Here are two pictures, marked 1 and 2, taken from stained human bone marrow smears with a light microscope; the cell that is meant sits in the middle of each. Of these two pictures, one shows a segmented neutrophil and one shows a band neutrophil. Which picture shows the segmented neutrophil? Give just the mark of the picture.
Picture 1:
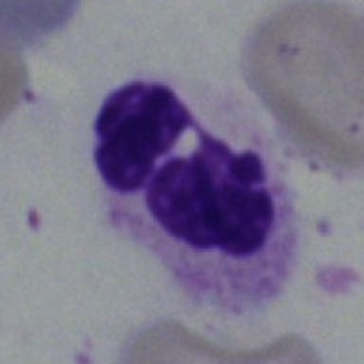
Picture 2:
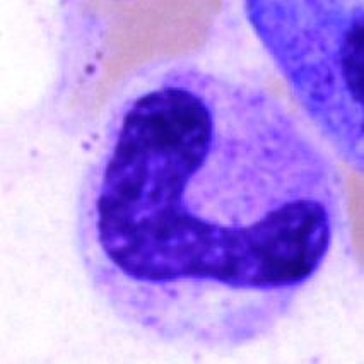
1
